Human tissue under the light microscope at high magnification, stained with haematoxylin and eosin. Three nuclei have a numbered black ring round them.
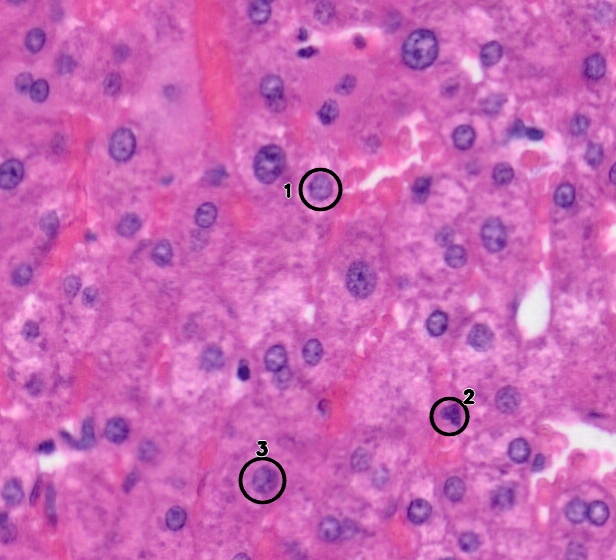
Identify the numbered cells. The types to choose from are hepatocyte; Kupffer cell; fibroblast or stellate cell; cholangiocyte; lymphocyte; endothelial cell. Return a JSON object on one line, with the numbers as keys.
{"1": "hepatocyte", "2": "fibroblast or stellate cell", "3": "hepatocyte"}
